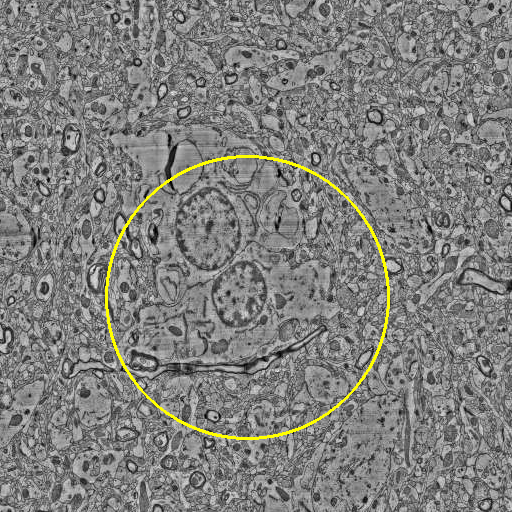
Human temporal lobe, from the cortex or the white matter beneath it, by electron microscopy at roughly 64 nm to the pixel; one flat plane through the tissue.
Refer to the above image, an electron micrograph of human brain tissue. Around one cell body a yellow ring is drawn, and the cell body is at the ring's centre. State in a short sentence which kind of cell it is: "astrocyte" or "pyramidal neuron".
The centre of the ring falls on an astrocyte.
